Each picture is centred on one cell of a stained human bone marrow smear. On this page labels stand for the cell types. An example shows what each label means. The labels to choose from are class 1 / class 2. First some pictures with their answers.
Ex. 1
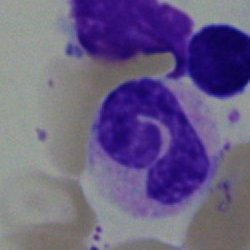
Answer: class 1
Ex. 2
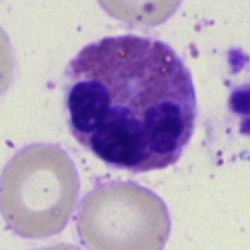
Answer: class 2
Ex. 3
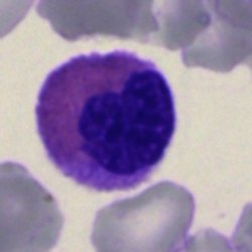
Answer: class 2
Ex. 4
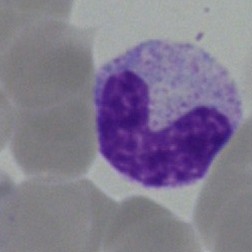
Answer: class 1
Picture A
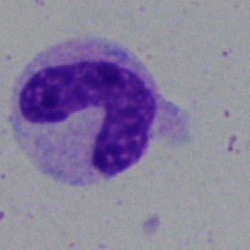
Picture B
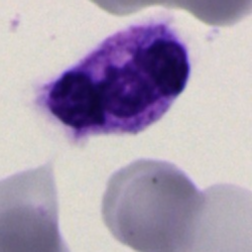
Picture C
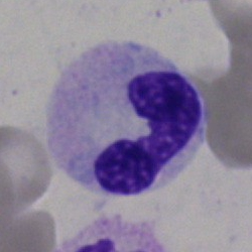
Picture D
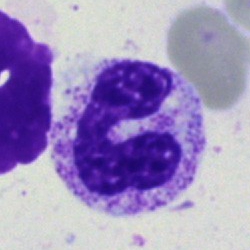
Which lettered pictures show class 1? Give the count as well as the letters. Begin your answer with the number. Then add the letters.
4: A, B, C, D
